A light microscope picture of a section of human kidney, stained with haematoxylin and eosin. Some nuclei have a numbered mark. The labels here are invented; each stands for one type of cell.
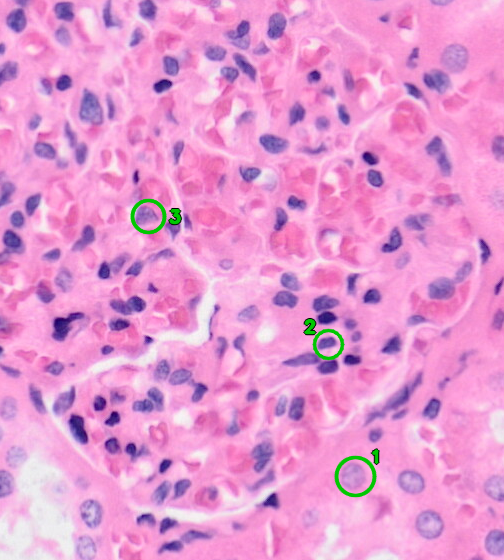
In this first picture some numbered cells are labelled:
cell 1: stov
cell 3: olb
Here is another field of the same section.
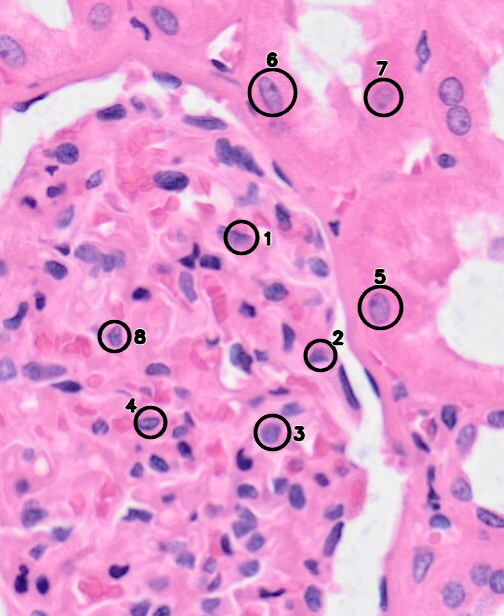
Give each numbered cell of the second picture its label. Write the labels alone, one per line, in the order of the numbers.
olb
olb
olb
olb
stov
stov
stov
olb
